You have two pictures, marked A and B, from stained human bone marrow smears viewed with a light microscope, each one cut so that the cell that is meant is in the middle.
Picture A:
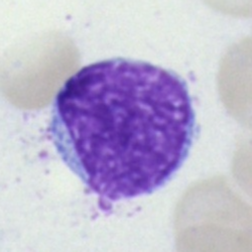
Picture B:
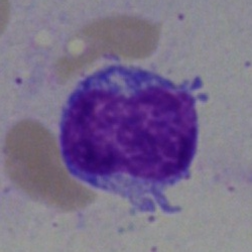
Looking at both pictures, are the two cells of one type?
yes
